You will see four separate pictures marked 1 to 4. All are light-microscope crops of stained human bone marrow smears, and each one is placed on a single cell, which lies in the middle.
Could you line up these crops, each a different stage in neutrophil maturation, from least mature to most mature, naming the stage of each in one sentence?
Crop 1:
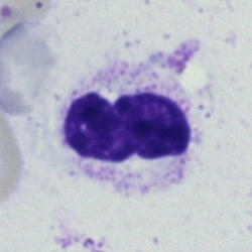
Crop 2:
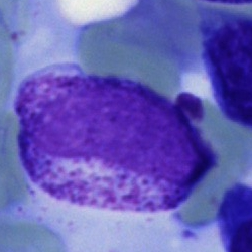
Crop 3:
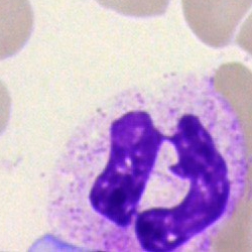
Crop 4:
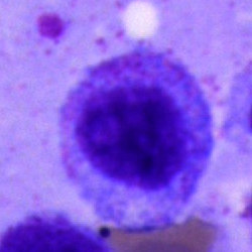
From least to most mature, the cells come in the order crop 4 (a promyelocyte), crop 2 (a myelocyte), crop 1 (a band neutrophil) and crop 3 (a segmented neutrophil).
